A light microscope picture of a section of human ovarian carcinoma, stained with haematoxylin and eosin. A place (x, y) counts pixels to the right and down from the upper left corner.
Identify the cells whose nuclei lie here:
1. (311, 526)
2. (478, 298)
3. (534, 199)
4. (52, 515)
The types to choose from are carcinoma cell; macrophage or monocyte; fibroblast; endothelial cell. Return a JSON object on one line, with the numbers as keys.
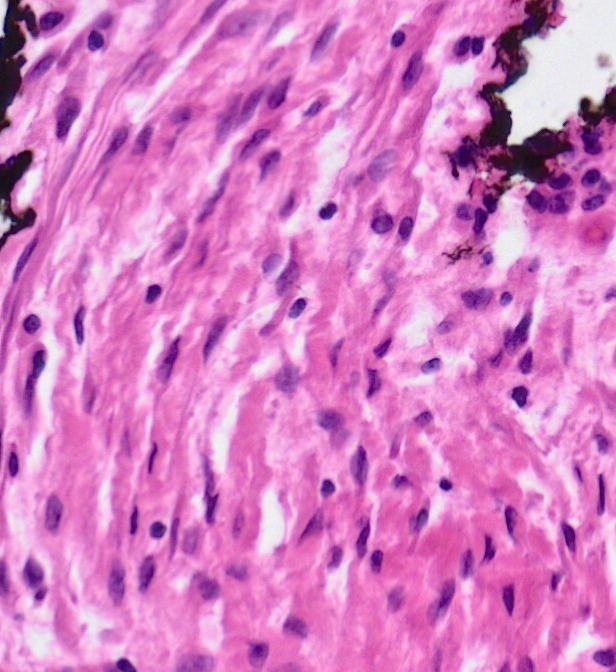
{"1": "fibroblast", "2": "fibroblast", "3": "carcinoma cell", "4": "fibroblast"}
